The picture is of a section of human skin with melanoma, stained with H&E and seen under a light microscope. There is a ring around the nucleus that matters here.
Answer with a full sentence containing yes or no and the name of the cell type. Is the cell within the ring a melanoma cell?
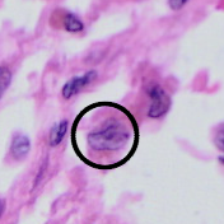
No, the cell within the ring is not a melanoma cell; the correct answer is a macrophage or monocyte.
